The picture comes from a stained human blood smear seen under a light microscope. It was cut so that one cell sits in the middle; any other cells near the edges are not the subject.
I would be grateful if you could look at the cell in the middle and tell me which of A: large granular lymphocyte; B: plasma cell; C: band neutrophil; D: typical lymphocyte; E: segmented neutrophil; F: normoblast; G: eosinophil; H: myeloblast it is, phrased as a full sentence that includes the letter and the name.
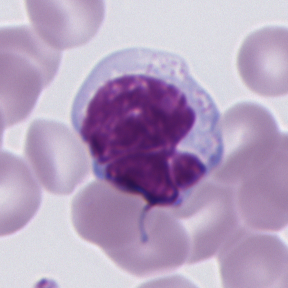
Here the right option is A, as the cell in the middle is a large granular lymphocyte.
